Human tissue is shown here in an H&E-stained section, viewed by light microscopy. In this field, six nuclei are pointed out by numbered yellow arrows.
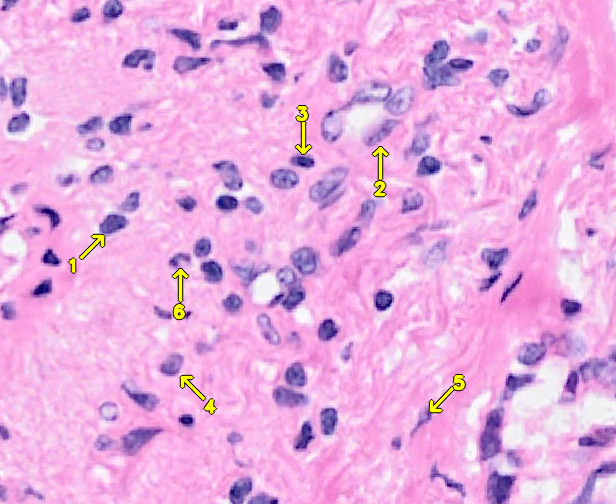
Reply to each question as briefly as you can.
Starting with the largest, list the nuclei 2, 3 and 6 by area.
2, 3, 6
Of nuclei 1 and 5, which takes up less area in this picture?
5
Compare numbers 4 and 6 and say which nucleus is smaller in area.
6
